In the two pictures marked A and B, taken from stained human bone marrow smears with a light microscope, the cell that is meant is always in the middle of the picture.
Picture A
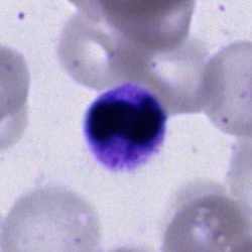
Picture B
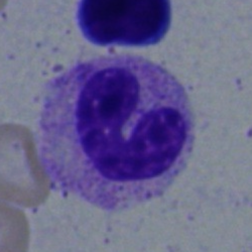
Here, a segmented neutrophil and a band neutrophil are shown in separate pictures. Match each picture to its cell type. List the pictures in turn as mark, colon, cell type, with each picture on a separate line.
A: segmented neutrophil
B: band neutrophil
